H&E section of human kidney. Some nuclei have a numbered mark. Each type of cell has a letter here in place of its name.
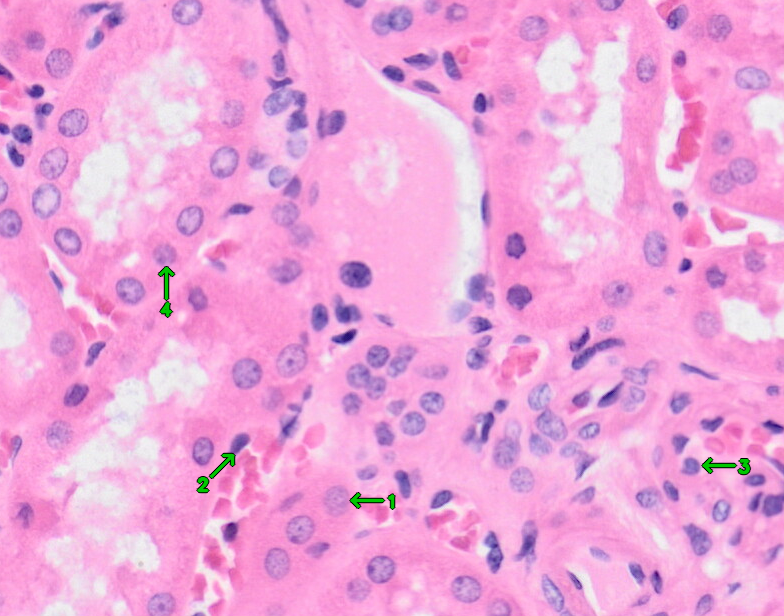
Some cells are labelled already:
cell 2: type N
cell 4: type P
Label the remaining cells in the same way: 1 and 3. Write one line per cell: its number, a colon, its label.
1: type P
3: type N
